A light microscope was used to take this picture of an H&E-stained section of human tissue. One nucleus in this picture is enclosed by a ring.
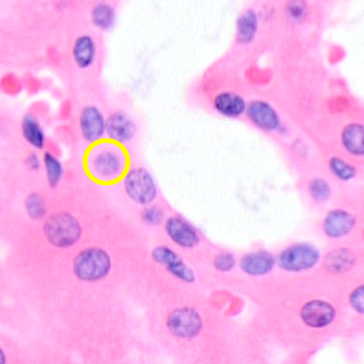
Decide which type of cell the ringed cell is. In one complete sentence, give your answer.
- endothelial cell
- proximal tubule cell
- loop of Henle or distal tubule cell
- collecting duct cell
In cell-type terms, the ringed cell is a collecting duct cell.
